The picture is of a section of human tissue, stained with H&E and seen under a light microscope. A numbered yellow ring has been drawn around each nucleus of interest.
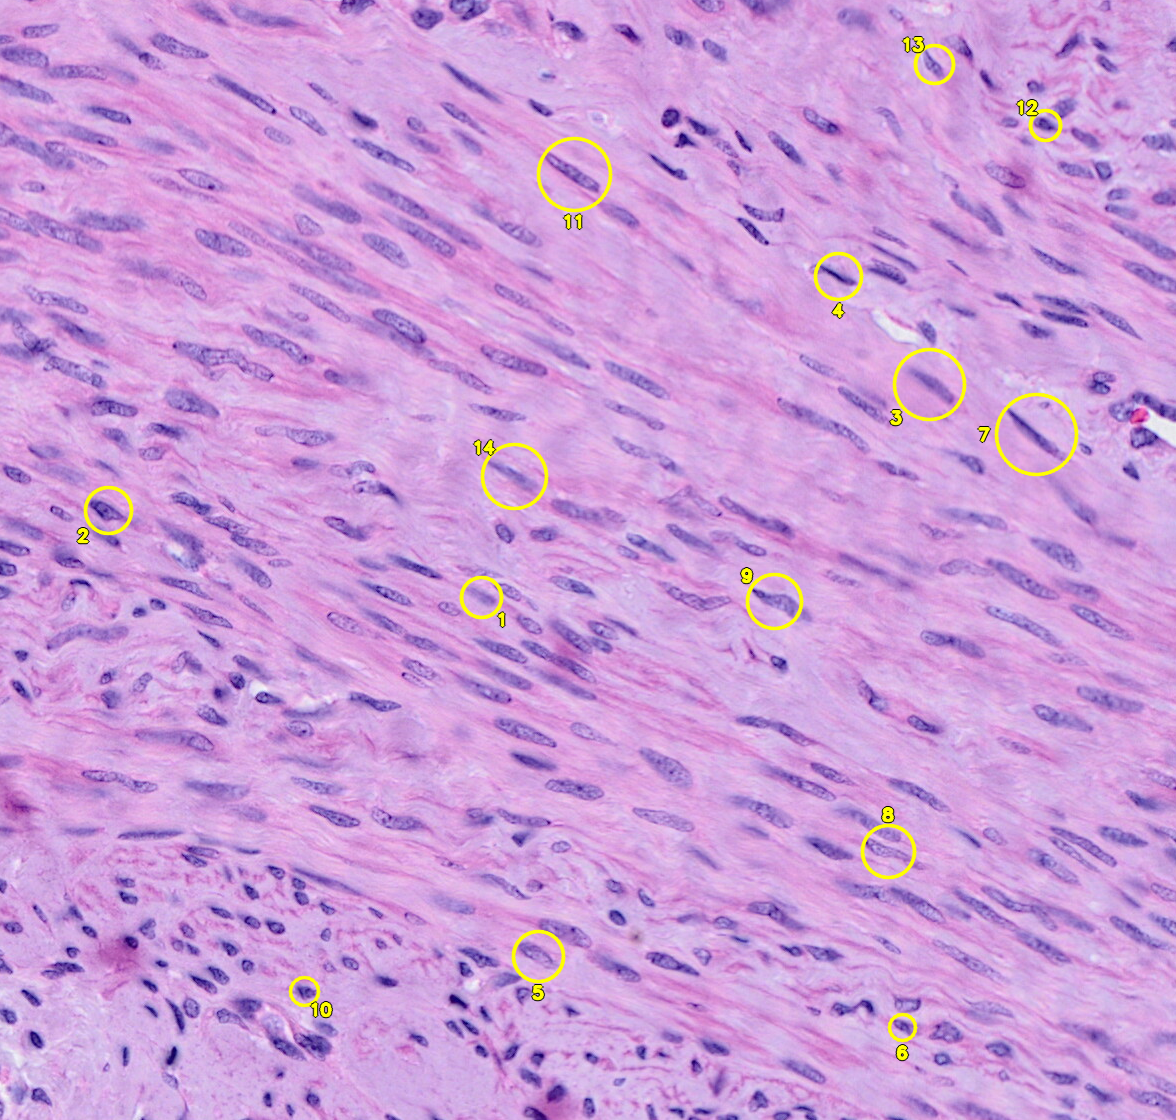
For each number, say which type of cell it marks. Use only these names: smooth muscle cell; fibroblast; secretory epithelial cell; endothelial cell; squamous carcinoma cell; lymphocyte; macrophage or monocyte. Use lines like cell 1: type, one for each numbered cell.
cell 1: smooth muscle cell
cell 2: fibroblast
cell 3: fibroblast
cell 4: fibroblast
cell 5: smooth muscle cell
cell 6: smooth muscle cell
cell 7: fibroblast
cell 8: smooth muscle cell
cell 9: fibroblast
cell 10: smooth muscle cell
cell 11: smooth muscle cell
cell 12: smooth muscle cell
cell 13: fibroblast
cell 14: smooth muscle cell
